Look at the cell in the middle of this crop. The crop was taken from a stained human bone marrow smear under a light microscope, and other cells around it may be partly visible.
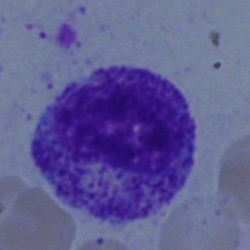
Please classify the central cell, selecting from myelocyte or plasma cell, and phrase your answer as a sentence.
The cell at the heart of this crop is a myelocyte.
